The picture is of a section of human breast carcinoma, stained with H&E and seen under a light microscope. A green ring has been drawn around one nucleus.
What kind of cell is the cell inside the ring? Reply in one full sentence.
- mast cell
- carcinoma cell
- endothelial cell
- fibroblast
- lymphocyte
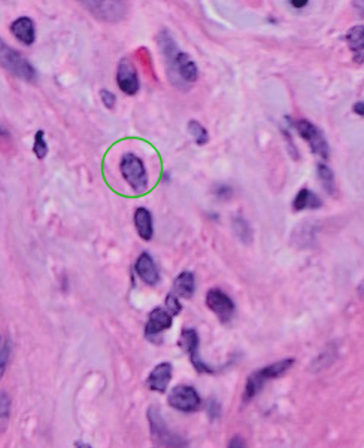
Labelled by cell type, the cell inside the ring is a mast cell.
